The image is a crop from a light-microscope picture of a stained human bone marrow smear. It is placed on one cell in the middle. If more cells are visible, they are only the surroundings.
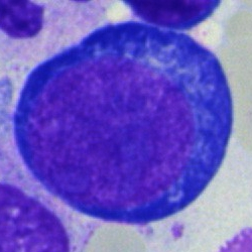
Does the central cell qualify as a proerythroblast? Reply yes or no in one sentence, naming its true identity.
Yes, the cell found at the centre of the crop is a proerythroblast.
